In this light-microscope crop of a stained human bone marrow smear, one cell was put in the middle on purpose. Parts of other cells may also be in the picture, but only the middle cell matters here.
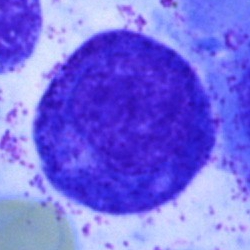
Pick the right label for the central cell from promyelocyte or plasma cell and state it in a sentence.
Positioned in the middle of the crop is a promyelocyte.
